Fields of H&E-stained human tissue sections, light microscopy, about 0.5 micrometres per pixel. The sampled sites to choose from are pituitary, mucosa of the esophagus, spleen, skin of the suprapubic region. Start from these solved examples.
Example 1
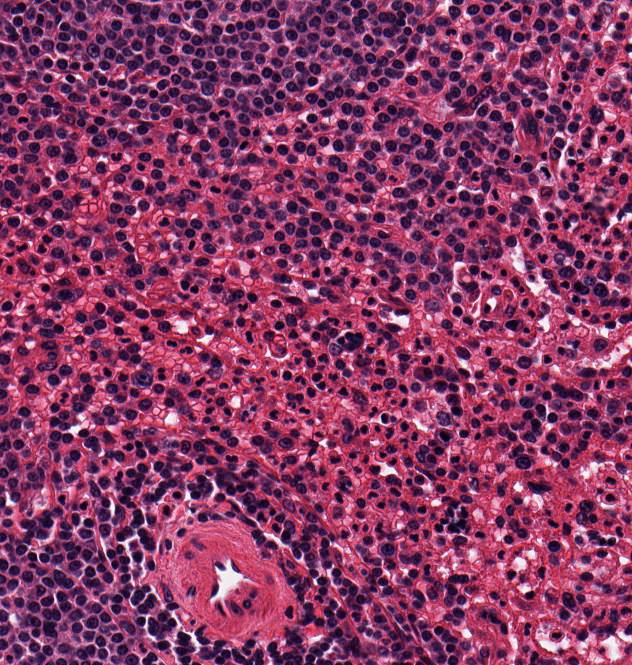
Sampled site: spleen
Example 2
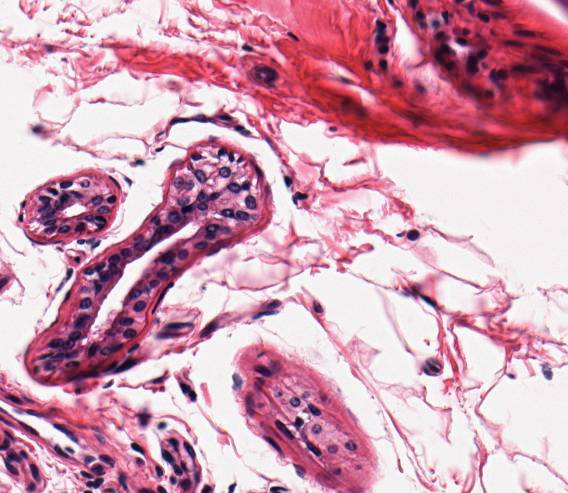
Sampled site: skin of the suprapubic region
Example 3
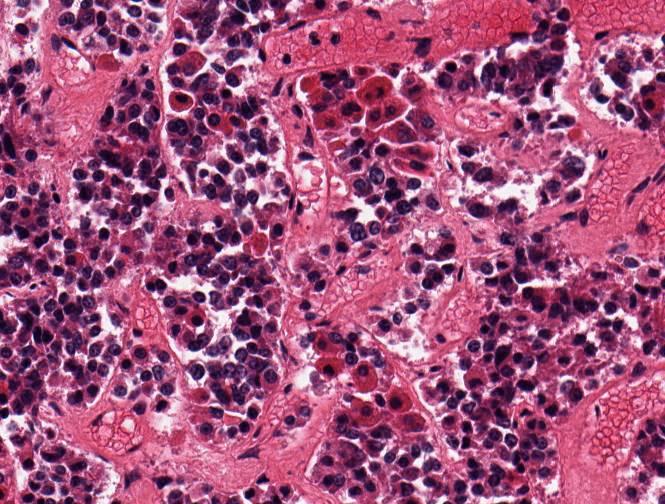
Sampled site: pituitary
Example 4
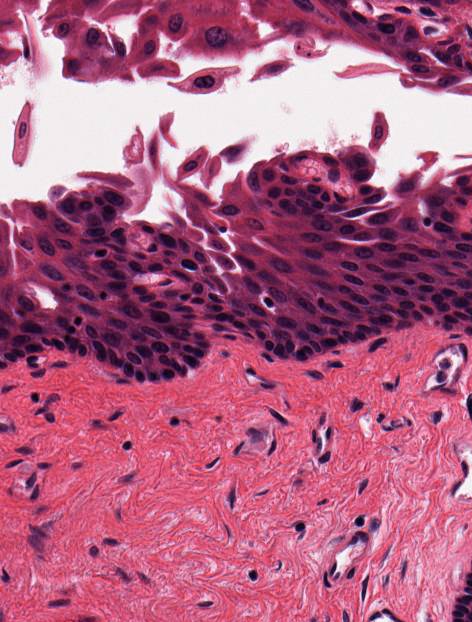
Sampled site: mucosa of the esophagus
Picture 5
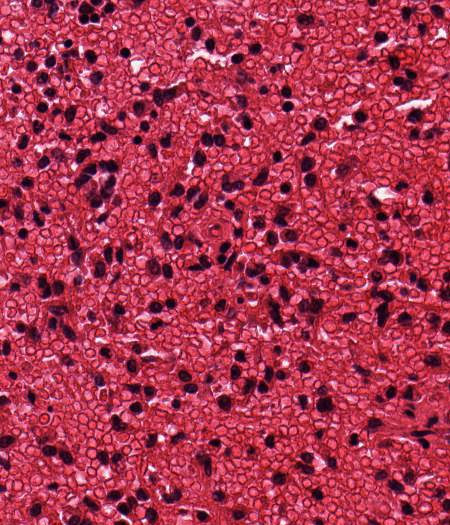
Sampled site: spleen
